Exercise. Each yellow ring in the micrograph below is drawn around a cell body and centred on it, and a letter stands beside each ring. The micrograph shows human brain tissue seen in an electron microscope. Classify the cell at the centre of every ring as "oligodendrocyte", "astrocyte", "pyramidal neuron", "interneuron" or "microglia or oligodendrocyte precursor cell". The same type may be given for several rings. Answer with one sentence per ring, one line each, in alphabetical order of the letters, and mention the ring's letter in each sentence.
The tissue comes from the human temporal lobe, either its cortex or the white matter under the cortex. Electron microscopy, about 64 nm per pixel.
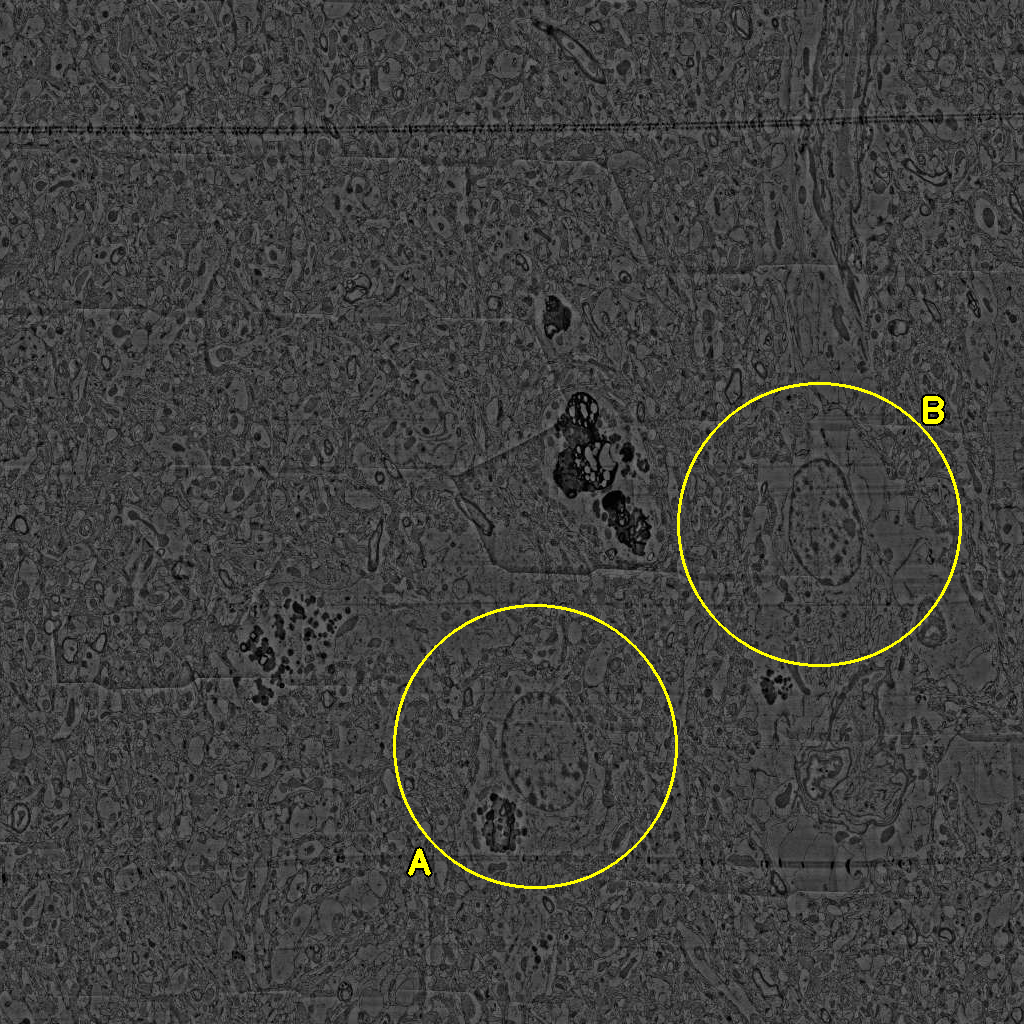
In ring A, the central cell is an astrocyte.
In ring B, the central cell is an astrocyte.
